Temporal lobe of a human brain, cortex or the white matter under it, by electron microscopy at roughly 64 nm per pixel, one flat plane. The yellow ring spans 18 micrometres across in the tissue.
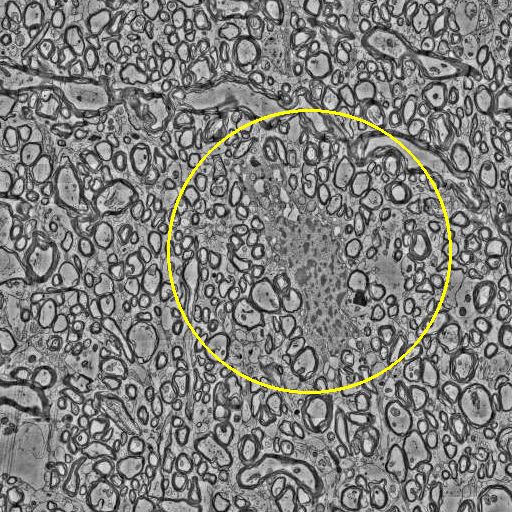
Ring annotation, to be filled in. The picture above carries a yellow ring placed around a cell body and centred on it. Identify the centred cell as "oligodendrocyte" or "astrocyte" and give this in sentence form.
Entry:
The cell in the middle of the ring is an astrocyte.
